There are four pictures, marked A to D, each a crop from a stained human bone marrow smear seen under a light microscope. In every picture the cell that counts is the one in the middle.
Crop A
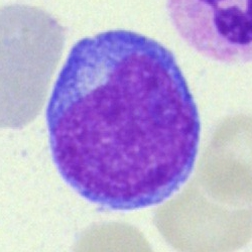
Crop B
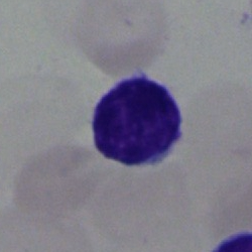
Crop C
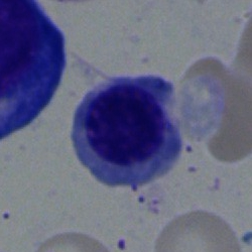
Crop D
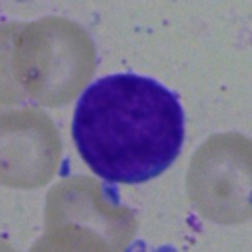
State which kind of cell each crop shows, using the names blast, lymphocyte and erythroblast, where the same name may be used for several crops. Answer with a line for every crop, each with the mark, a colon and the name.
A: blast
B: lymphocyte
C: erythroblast
D: lymphocyte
